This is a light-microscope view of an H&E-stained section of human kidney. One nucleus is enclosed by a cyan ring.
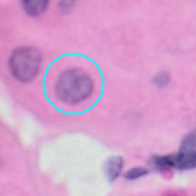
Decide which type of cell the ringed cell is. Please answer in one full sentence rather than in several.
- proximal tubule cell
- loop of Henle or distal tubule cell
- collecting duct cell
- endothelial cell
In short, the ringed cell on this section is a proximal tubule cell.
